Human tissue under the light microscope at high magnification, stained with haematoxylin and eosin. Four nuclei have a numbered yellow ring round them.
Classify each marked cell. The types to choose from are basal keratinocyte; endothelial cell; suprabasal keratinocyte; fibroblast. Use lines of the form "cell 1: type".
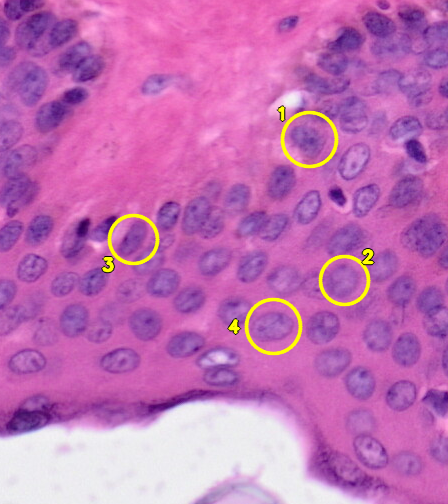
cell 1: basal keratinocyte
cell 2: suprabasal keratinocyte
cell 3: basal keratinocyte
cell 4: suprabasal keratinocyte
